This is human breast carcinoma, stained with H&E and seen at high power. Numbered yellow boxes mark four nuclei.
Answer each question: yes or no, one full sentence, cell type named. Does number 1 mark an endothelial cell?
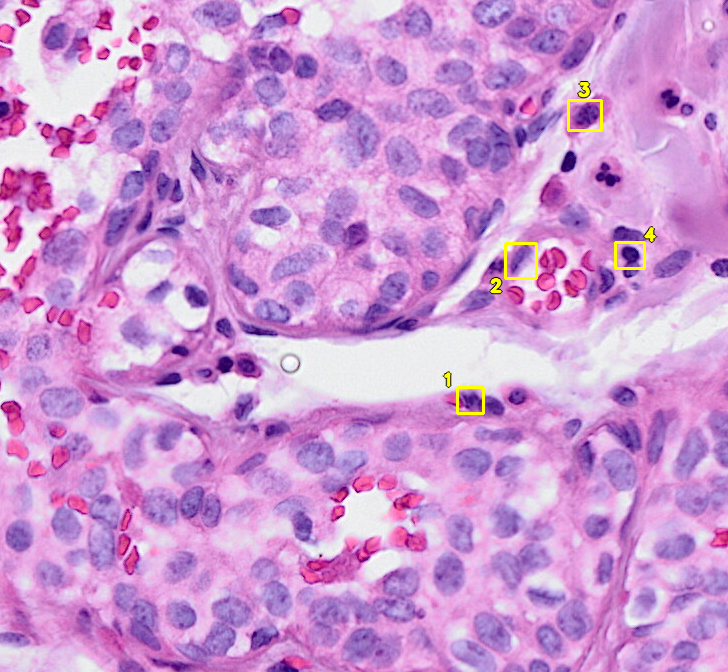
Yes, kindly take note: the cell numbered 1 is an endothelial cell.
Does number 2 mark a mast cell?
No, what number 2 shows is an endothelial cell, not a mast cell.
